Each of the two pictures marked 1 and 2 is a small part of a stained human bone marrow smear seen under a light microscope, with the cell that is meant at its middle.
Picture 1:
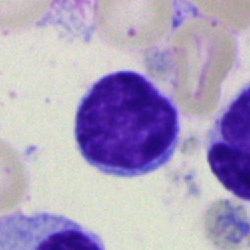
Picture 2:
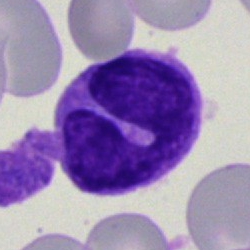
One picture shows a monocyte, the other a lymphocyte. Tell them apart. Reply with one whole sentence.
Picture 2 shows a monocyte, while picture 1 shows a lymphocyte.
